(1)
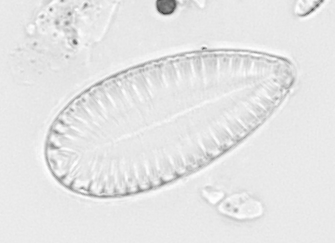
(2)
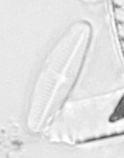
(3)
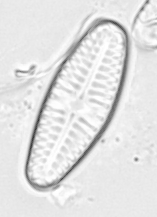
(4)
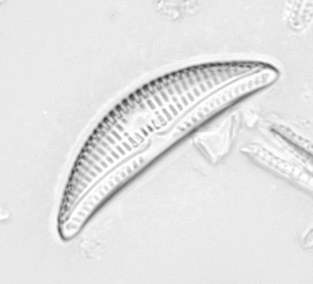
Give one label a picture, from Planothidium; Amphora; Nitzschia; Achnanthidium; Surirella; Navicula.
1: Surirella
2: Achnanthidium
3: Planothidium
4: Amphora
